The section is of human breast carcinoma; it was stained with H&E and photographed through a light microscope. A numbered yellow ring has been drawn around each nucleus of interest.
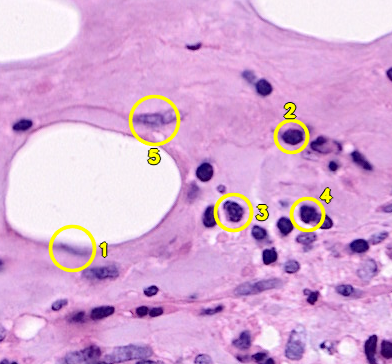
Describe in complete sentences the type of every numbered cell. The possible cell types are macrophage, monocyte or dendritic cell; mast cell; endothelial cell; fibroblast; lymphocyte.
Cell 1 is a fibroblast, cell 2 is a lymphocyte, cell 3 is a lymphocyte, cell 4 is a lymphocyte and cell 5 is a fibroblast.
